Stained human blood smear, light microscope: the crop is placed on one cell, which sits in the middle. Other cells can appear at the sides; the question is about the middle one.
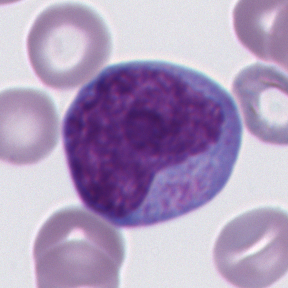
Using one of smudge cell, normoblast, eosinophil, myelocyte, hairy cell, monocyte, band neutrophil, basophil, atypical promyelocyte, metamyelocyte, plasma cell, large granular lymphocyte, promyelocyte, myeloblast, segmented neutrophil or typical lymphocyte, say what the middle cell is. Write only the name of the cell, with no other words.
promyelocyte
